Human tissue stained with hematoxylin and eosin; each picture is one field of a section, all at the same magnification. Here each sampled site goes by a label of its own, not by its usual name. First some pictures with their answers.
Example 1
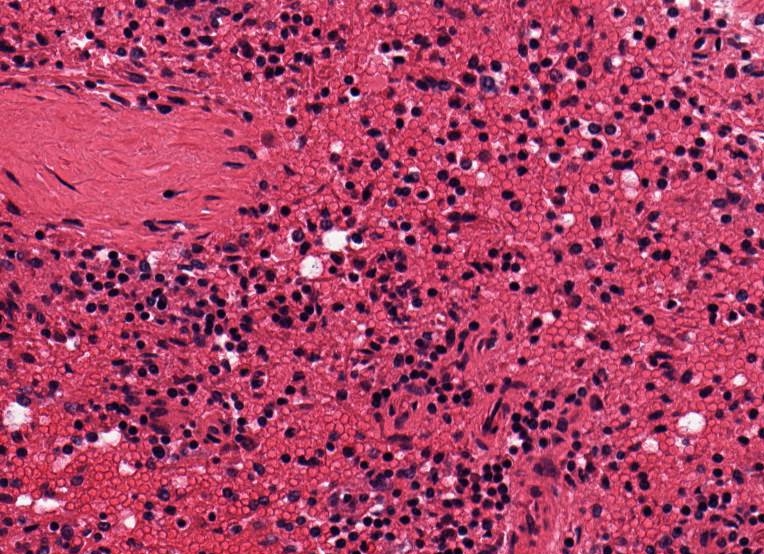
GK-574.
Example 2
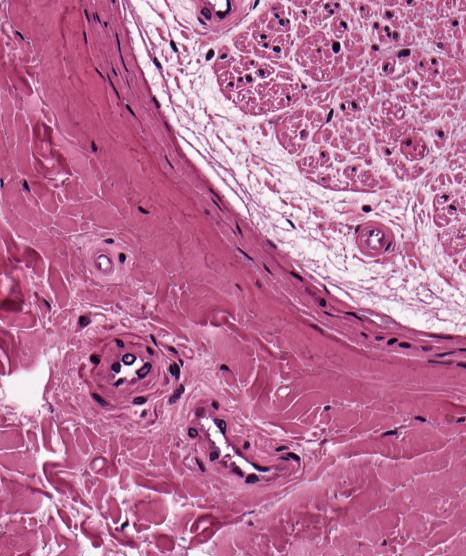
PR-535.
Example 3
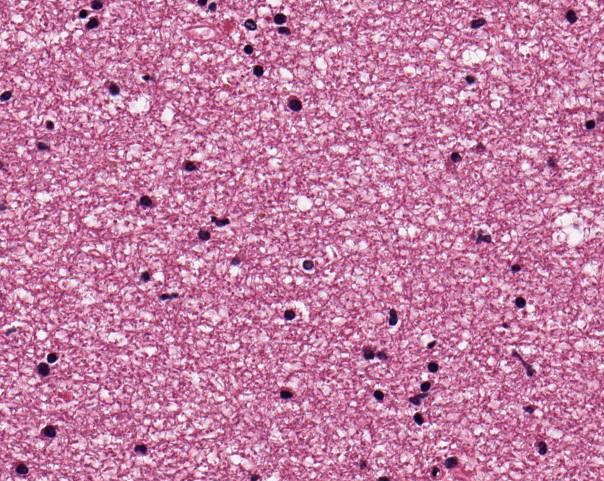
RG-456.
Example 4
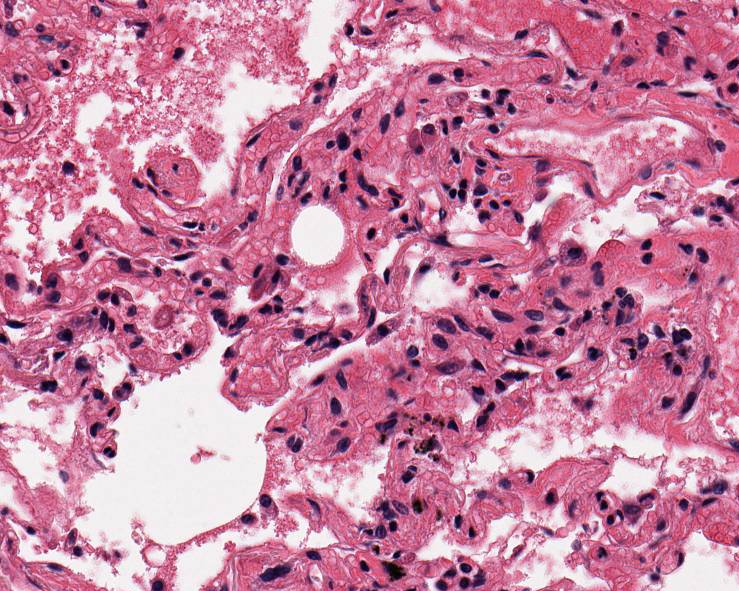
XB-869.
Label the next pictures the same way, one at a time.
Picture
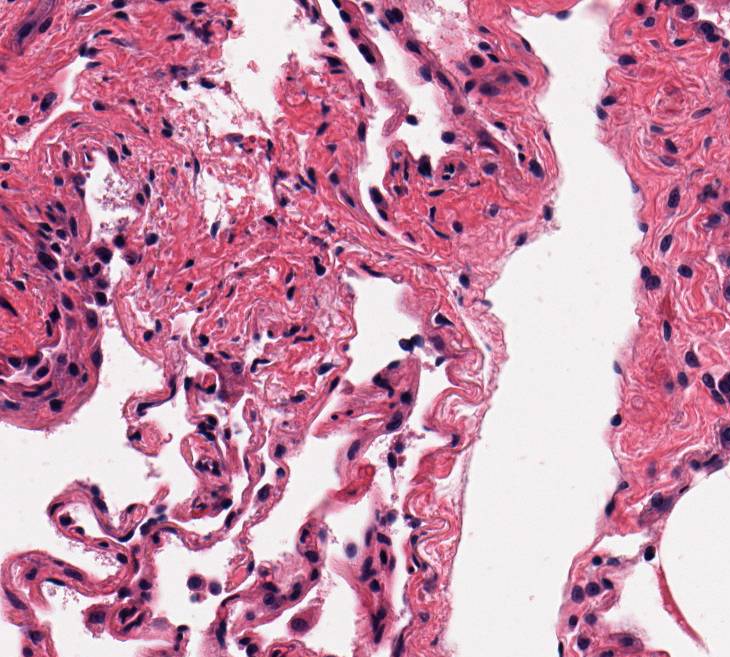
XB-869.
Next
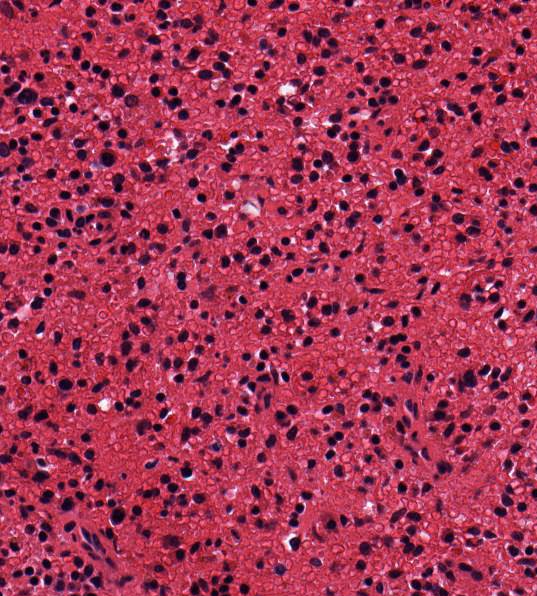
GK-574.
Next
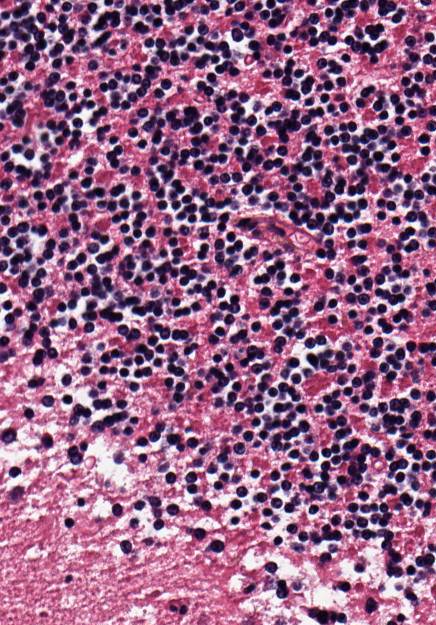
RG-456.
